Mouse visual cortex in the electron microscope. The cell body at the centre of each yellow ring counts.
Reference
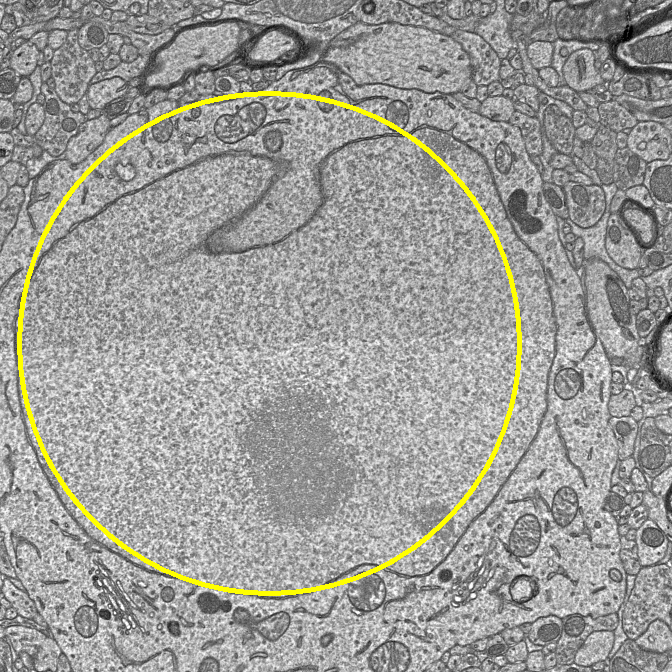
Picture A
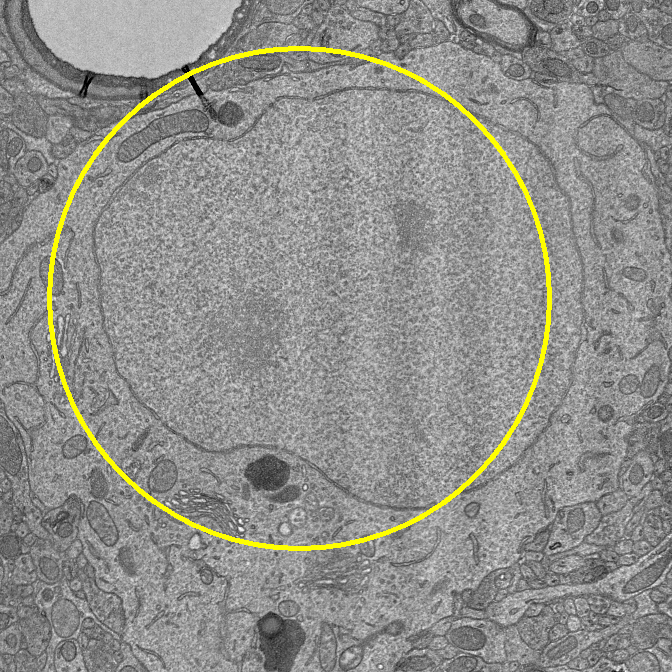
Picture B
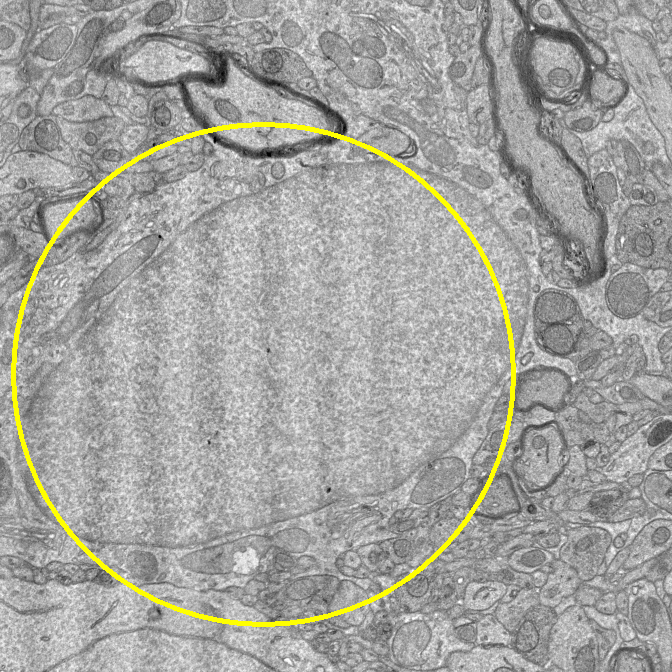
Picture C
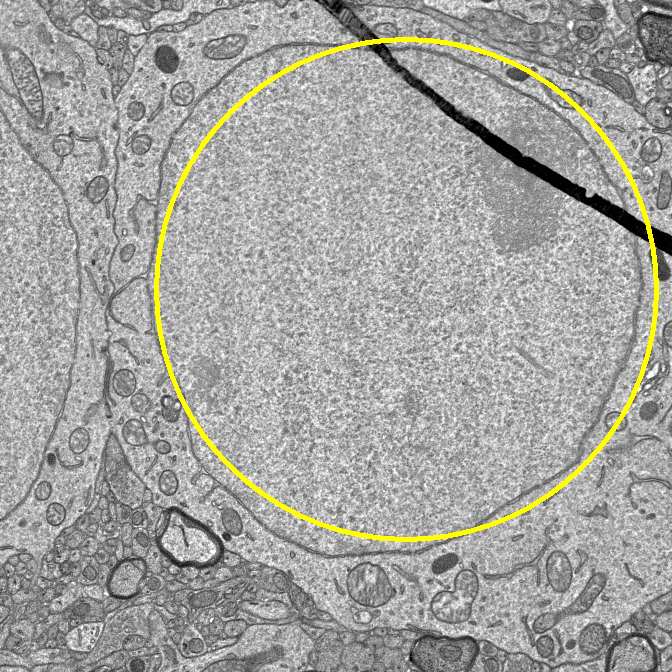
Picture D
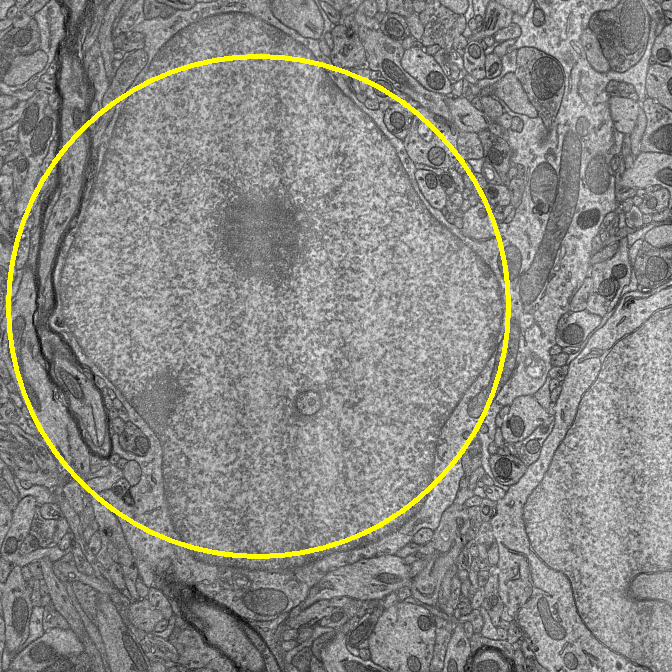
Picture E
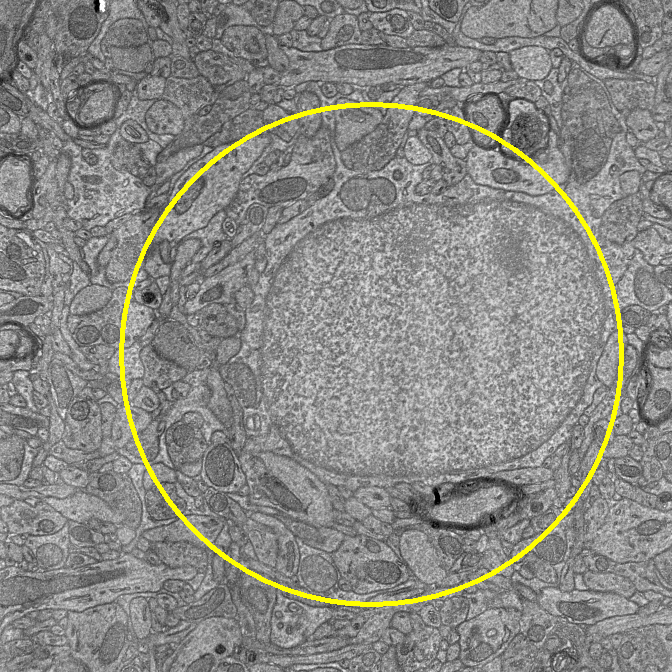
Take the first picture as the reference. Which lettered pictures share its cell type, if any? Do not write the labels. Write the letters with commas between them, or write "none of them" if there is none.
A, C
